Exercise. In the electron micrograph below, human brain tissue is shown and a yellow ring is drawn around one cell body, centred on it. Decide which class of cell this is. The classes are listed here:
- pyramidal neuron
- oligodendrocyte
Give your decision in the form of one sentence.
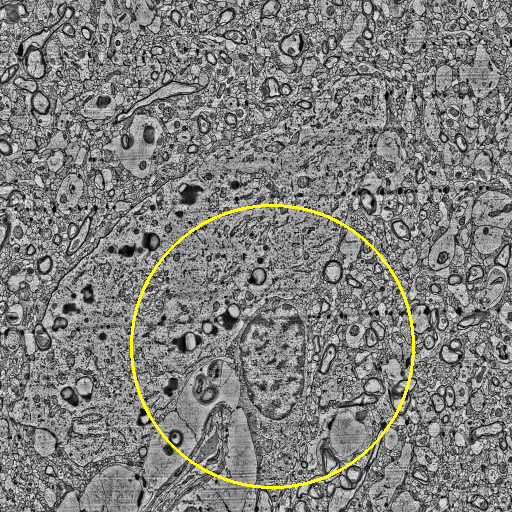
The cell body marked by the ring belongs to an oligodendrocyte.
